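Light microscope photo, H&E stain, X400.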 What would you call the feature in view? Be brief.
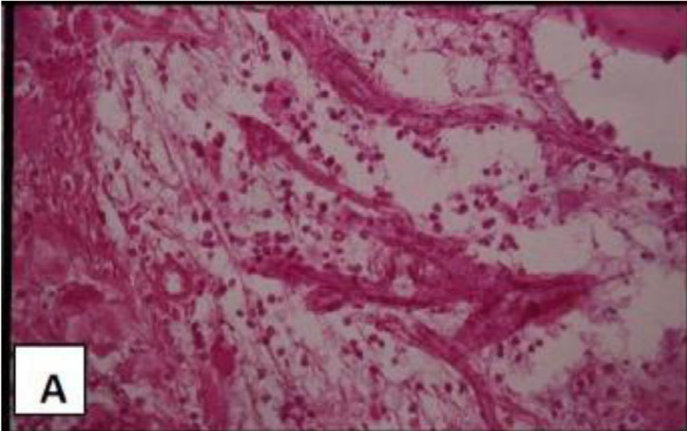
organized bundles of collagen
